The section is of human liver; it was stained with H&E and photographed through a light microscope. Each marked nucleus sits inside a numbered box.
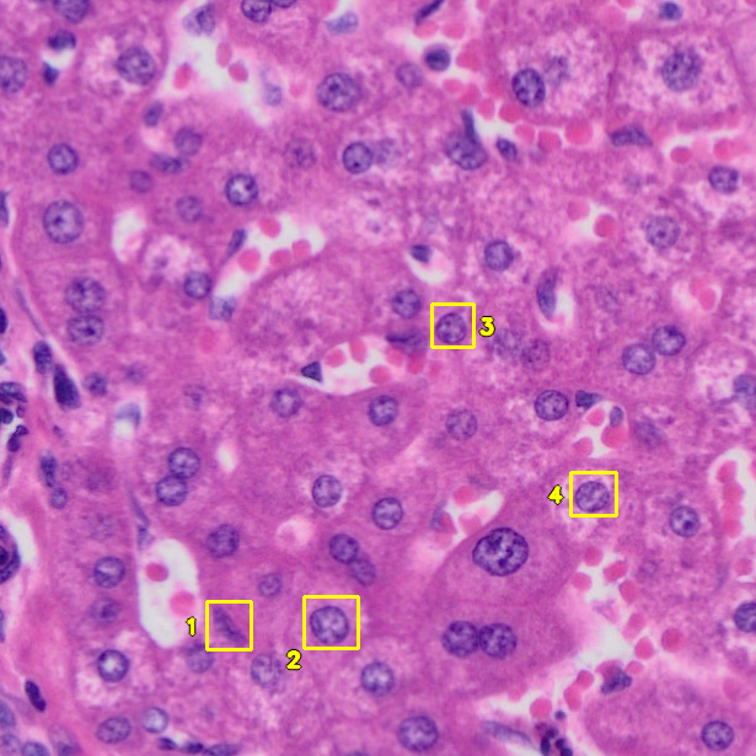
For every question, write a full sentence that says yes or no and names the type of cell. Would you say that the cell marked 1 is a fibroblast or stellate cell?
Yes, the cell to which number 1 refers is a fibroblast or stellate cell.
